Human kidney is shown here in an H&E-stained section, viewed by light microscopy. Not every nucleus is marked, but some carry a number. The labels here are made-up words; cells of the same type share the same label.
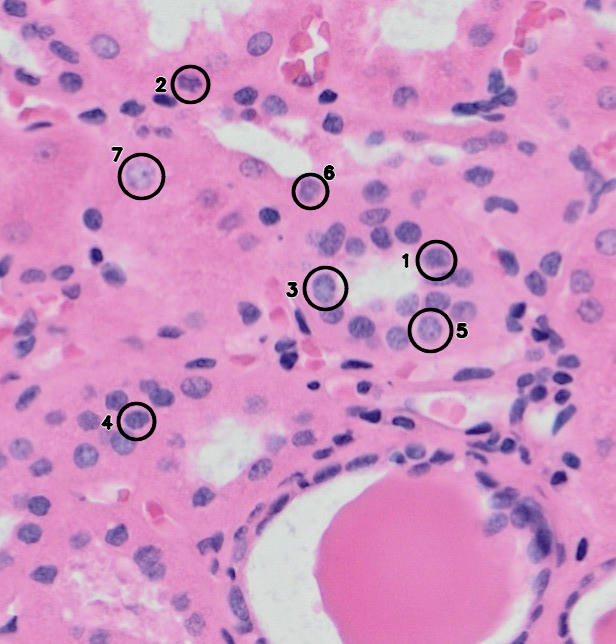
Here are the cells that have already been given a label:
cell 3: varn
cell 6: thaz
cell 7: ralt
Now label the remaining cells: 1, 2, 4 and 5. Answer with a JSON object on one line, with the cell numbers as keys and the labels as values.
{"1": "varn", "2": "ralt", "4": "thaz", "5": "varn"}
